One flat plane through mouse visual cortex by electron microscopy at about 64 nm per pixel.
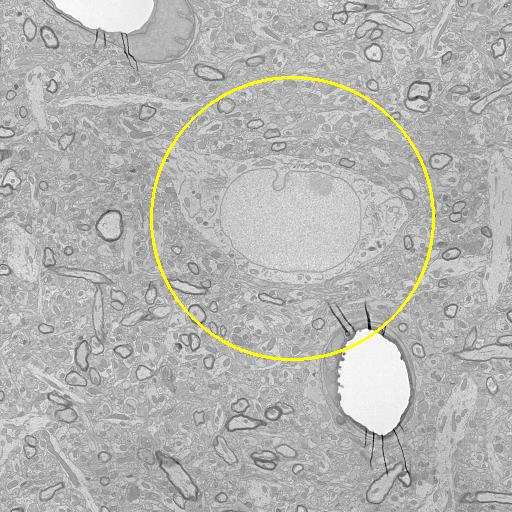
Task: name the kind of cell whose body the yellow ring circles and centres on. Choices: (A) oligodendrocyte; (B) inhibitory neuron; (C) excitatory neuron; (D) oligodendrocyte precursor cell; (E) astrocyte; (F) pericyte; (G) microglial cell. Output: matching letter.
C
